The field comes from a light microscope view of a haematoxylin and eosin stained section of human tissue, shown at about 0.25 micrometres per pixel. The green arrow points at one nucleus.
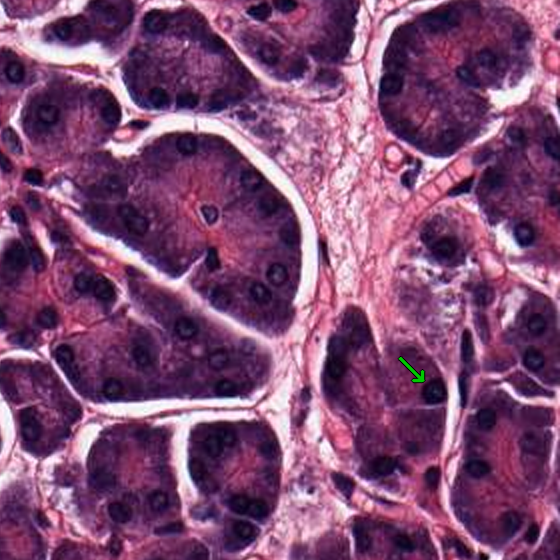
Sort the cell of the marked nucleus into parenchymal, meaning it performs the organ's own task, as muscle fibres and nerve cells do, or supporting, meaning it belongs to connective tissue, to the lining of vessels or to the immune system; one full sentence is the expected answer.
The marked nucleus belongs to a parenchymal cell, namely a pancreatic acinar cell.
